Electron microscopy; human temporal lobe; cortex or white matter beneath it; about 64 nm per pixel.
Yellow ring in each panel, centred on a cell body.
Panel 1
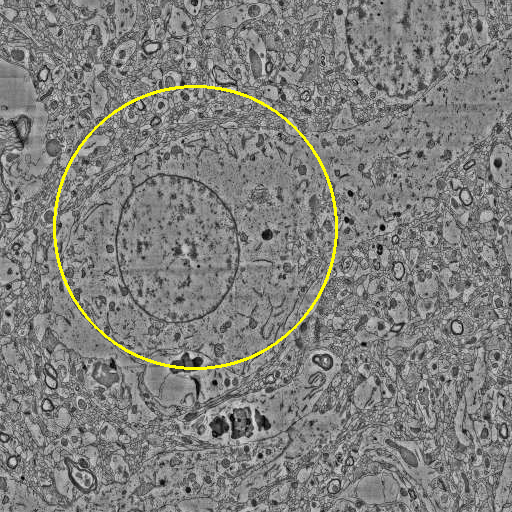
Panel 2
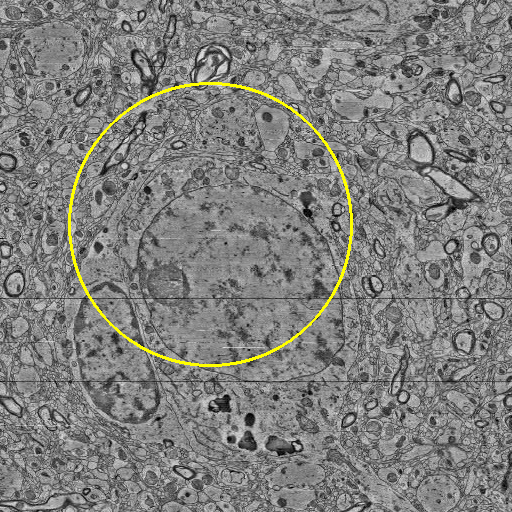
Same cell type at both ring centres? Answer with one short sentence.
Yes, both cells are of the same type.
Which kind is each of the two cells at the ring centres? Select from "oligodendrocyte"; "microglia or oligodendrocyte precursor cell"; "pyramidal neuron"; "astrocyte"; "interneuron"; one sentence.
Each of the ringed cells, first and second, is a pyramidal neuron.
